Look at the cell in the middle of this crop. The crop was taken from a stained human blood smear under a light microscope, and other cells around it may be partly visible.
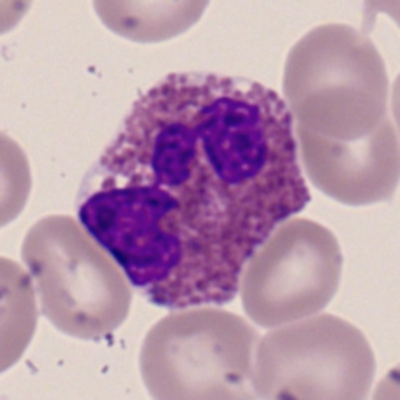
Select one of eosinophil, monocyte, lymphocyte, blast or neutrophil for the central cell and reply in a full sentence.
The middle cell in this particular crop is an eosinophil.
